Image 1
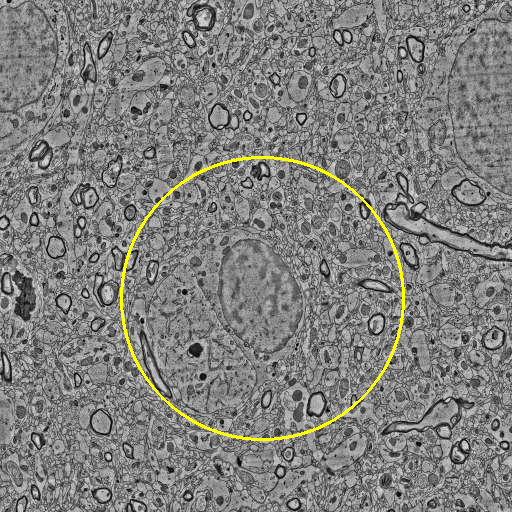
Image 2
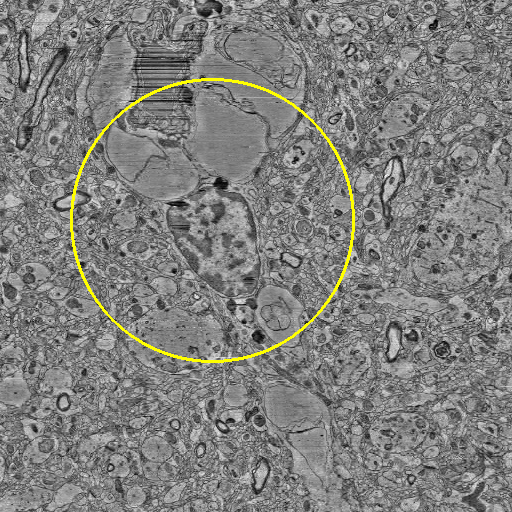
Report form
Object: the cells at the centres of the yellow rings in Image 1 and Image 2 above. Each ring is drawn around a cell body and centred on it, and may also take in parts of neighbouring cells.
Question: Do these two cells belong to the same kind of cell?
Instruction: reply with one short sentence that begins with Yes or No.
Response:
No, they belong to two kinds of cell.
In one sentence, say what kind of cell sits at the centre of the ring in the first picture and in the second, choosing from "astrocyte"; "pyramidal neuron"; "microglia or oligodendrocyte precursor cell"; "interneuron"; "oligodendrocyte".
The first picture's ringed cell is an oligodendrocyte, while the second picture's is a microglial cell or oligodendrocyte precursor cell.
